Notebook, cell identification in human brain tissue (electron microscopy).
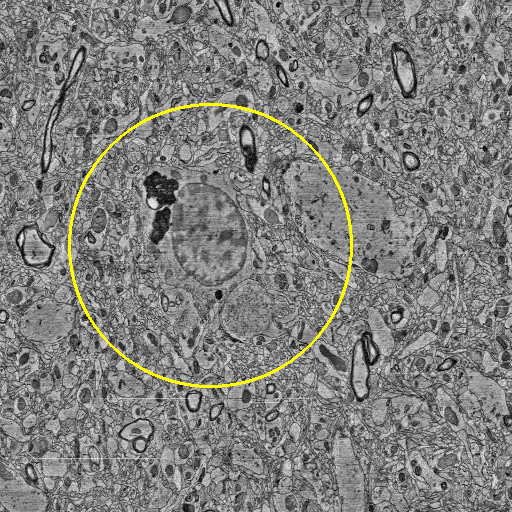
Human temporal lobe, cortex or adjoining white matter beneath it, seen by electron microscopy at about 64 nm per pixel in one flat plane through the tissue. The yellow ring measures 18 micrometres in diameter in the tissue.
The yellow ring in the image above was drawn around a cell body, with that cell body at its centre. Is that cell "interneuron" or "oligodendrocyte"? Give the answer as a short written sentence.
The cell in the ring is an oligodendrocyte.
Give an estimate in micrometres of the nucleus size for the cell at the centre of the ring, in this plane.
Roughly 6 micrometres by 5 micrometres, in this plane.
